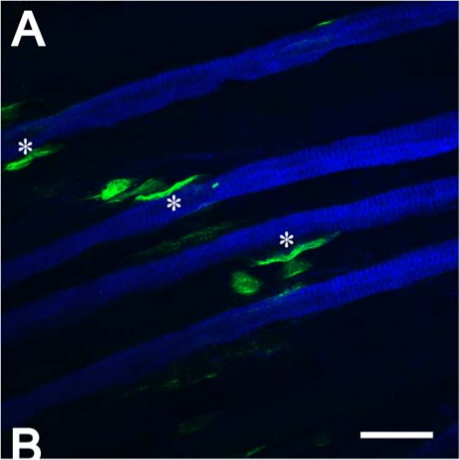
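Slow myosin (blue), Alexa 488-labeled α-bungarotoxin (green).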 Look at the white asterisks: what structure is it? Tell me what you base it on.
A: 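Each asterisk sits beside a compact, elongated green cluster.
Endplates.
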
